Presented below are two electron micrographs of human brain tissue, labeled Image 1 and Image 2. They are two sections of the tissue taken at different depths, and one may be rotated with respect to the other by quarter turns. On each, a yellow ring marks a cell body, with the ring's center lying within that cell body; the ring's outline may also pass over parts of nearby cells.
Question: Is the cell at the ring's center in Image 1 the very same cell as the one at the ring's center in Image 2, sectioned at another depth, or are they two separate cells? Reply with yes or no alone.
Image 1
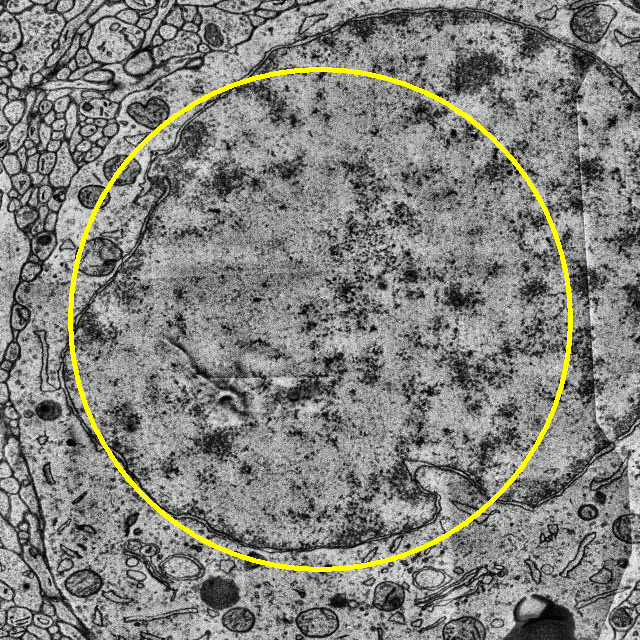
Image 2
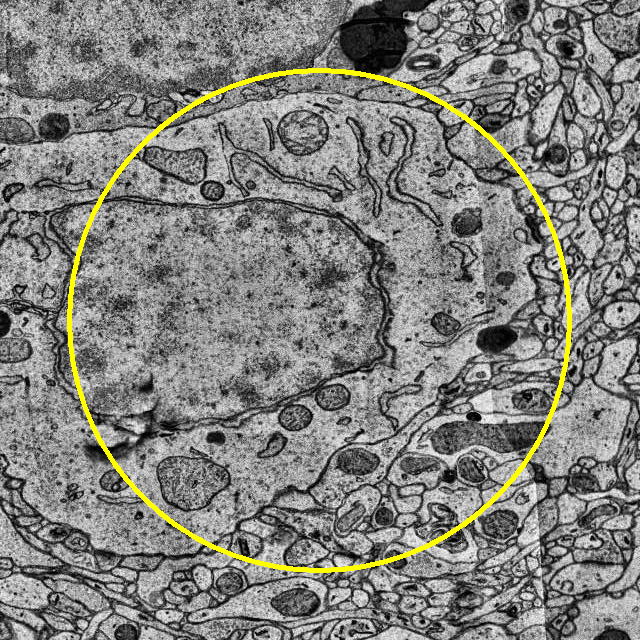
no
